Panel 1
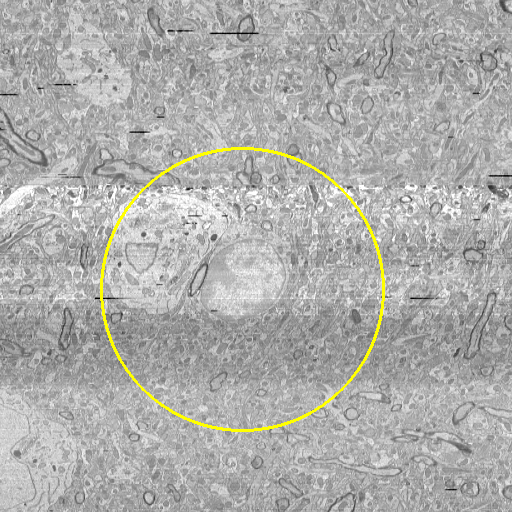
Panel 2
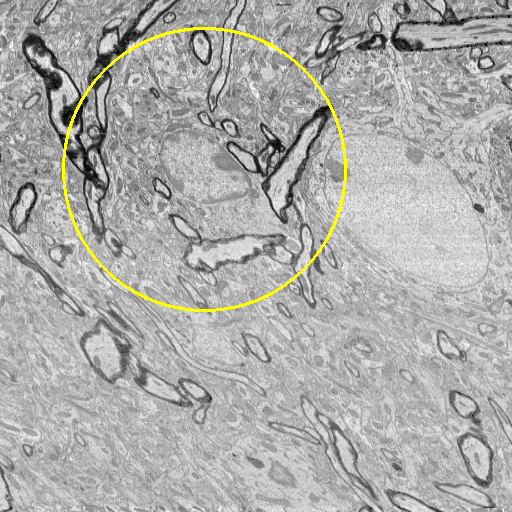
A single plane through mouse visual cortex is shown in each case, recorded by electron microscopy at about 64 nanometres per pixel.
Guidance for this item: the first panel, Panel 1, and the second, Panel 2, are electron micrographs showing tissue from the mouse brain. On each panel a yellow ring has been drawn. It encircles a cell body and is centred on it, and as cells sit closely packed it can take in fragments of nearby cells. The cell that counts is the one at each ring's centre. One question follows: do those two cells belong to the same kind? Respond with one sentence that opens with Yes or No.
Yes, the cells at the ring centres in Panel 1 and Panel 2 are of one kind.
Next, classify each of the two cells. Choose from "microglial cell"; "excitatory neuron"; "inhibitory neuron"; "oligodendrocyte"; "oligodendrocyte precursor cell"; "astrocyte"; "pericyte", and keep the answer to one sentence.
Each one of the two ringed cells is an oligodendrocyte.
